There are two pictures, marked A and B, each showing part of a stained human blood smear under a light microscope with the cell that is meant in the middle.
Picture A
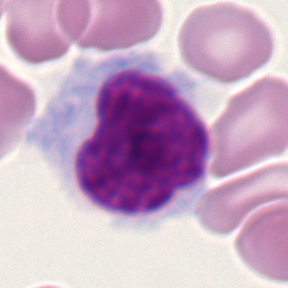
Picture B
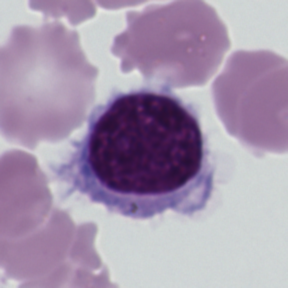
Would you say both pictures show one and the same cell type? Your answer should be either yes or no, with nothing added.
yes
